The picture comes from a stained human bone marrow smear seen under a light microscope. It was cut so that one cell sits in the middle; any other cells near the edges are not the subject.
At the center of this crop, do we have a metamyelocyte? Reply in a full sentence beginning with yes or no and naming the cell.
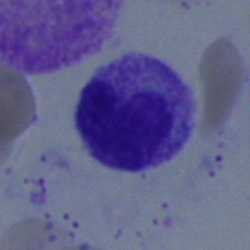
Yes, what sits in the centre of the crop is a metamyelocyte.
